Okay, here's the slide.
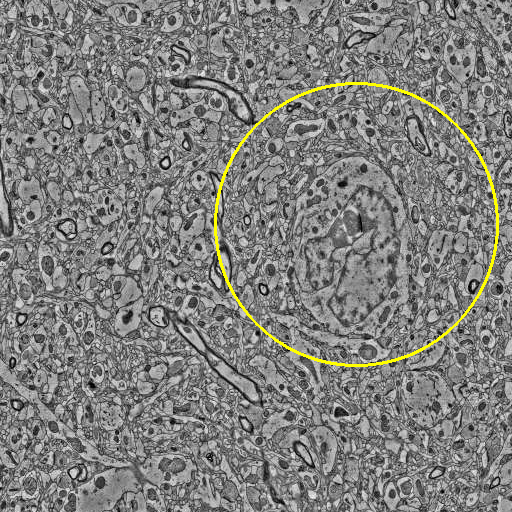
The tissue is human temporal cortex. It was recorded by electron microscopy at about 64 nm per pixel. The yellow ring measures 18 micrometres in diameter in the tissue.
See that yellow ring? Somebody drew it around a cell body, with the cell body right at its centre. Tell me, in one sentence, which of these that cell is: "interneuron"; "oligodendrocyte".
The cell in the middle of the ring is an interneuron.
